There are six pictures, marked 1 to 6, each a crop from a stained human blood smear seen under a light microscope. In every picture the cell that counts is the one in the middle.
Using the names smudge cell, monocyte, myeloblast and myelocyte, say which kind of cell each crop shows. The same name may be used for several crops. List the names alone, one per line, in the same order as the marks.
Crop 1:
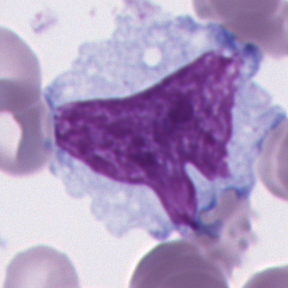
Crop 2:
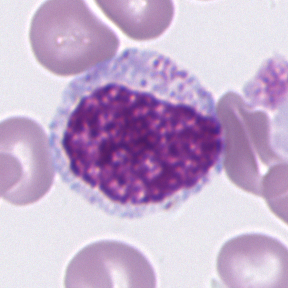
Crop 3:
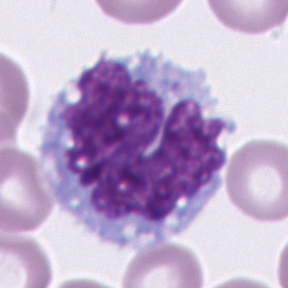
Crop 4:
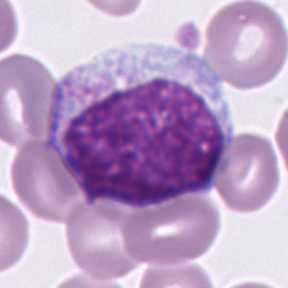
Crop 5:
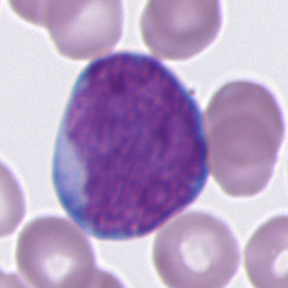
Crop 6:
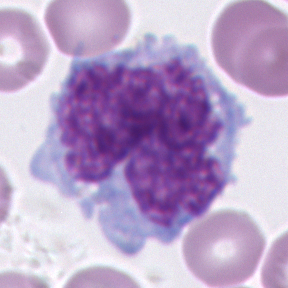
monocyte
myelocyte
monocyte
myelocyte
myeloblast
monocyte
